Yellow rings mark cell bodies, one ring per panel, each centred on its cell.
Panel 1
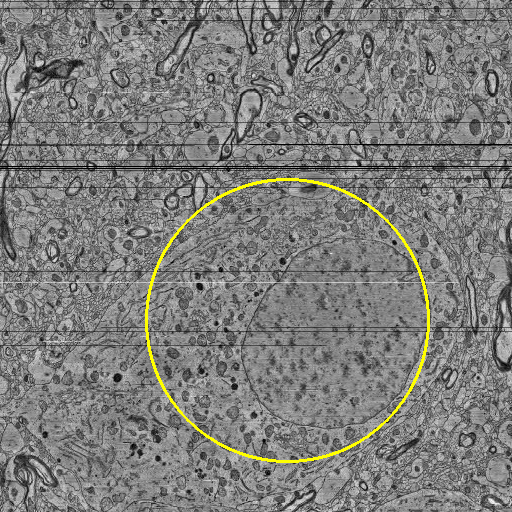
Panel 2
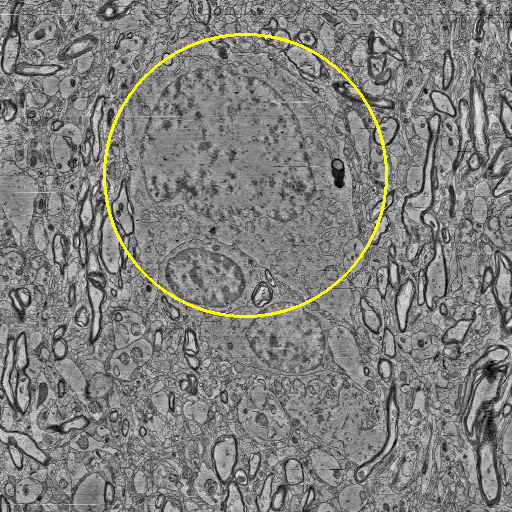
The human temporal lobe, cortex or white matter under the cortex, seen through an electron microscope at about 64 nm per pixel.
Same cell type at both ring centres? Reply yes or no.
yes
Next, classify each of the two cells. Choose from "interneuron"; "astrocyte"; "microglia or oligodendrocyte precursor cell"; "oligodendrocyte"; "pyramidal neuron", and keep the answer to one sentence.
Both cells are the same kind, each one being an interneuron.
